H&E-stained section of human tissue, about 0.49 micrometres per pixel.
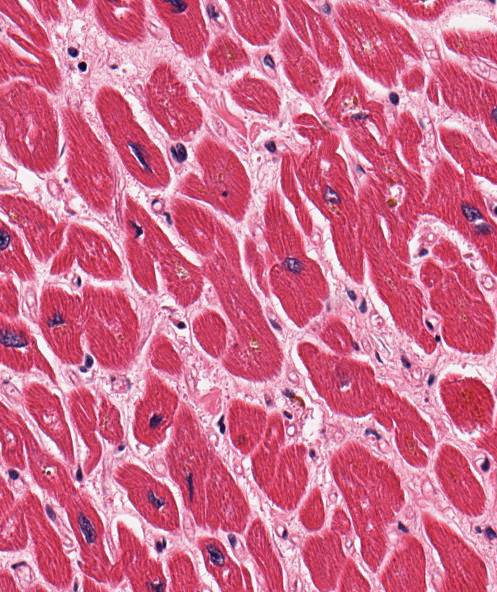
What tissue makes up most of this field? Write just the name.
myocardium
